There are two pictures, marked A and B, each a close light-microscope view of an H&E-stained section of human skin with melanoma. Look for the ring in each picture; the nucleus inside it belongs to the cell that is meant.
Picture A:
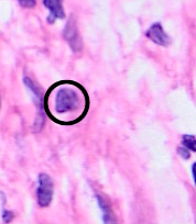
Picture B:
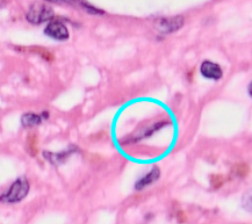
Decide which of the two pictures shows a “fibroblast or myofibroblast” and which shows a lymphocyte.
A: lymphocyte
B: fibroblast or myofibroblast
